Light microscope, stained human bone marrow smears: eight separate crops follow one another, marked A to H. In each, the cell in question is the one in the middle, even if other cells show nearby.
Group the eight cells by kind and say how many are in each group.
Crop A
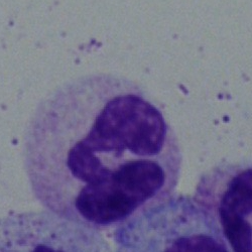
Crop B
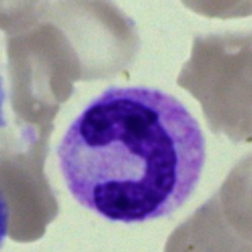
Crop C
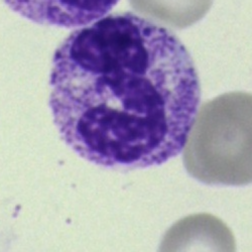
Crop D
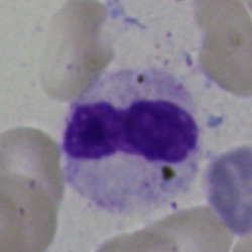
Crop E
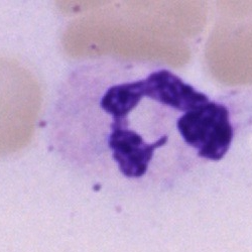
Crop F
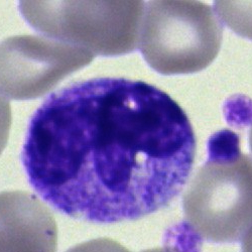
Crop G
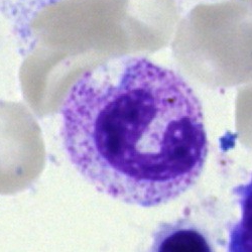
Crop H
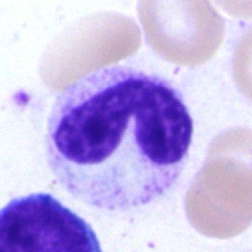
segmented neutrophil: 4
band neutrophil: 4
